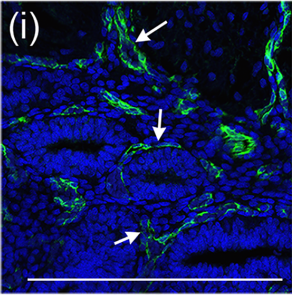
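Green-stained cells in that tissue are thin and spindle-shaped, with long processes that follow the borders of the epithelium. Toward the top, a larger band of green-lined cells runs through the field. The epithelial cells themselves show little green and are mostly seen by their nuclei.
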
